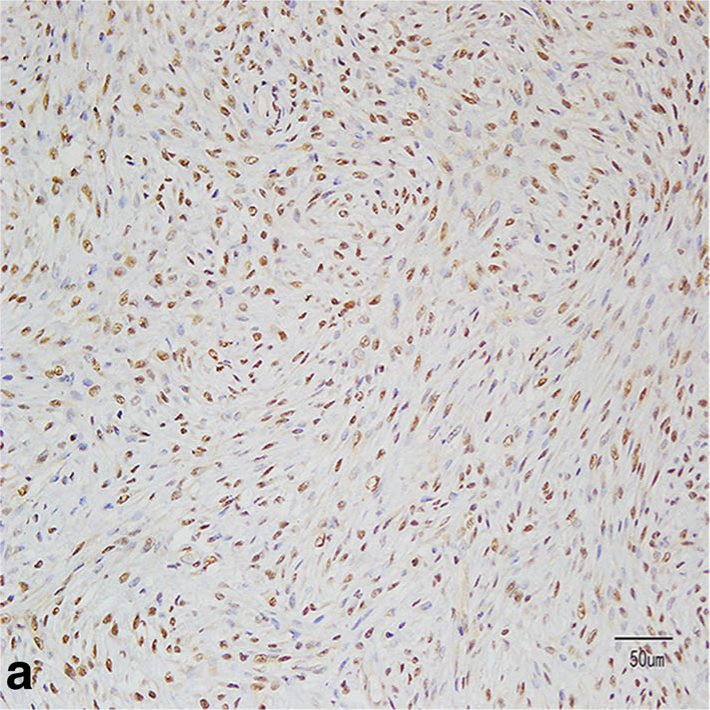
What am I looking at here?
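This is a cellular fibrous lesion made of spindle to oval fibroblast-like cells arranged in swirling, storiform bundles within a pale collagenous stroma. Most of the oval nuclei are stained brown, with a fainter brown tinge in the surrounding cytoplasm, while a minority of nuclei remain blue.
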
